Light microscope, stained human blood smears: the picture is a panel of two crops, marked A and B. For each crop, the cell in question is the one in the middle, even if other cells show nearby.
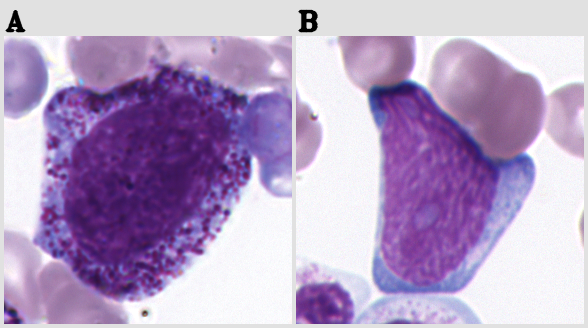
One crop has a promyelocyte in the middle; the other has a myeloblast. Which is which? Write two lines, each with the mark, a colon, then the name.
A: promyelocyte
B: myeloblast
